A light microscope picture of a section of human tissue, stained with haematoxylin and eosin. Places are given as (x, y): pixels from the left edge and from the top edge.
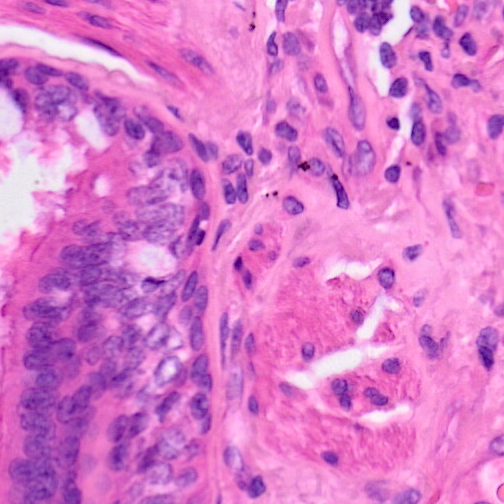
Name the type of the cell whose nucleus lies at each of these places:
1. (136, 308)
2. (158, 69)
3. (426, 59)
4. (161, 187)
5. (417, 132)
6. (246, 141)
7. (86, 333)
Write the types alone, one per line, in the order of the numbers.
ciliated epithelial cell
smooth muscle cell or pericyte
lymphocyte
ciliated epithelial cell
lymphocyte
lymphocyte
ciliated epithelial cell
